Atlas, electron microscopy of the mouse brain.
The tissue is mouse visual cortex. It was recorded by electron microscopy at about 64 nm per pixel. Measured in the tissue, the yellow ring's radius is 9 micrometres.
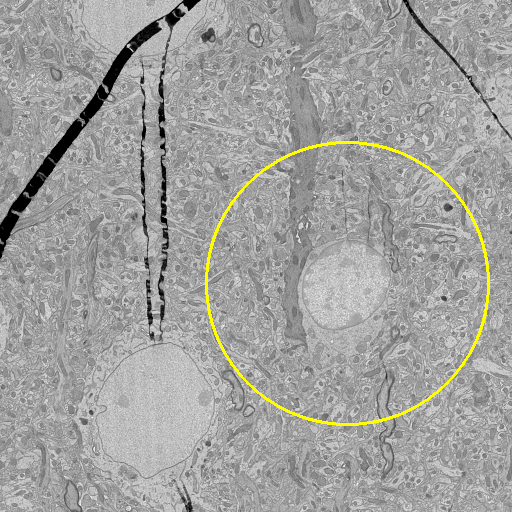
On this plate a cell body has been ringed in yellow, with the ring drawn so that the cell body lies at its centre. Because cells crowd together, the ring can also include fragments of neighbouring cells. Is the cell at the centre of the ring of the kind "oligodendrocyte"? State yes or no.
Yes, it is of that kind.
